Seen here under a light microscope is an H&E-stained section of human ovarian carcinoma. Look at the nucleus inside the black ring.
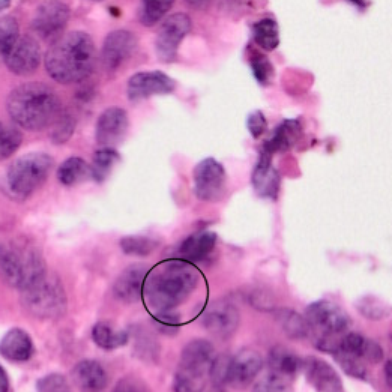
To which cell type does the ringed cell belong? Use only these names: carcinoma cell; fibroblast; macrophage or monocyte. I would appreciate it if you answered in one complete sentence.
Placed in its cell category, the ringed cell is a carcinoma cell.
